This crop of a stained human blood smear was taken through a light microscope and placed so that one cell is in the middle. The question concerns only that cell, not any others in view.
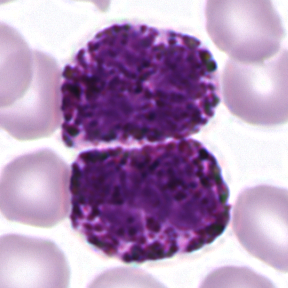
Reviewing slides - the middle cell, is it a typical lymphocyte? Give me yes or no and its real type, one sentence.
No, the central cell is not to be called a typical lymphocyte, being a basophil.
